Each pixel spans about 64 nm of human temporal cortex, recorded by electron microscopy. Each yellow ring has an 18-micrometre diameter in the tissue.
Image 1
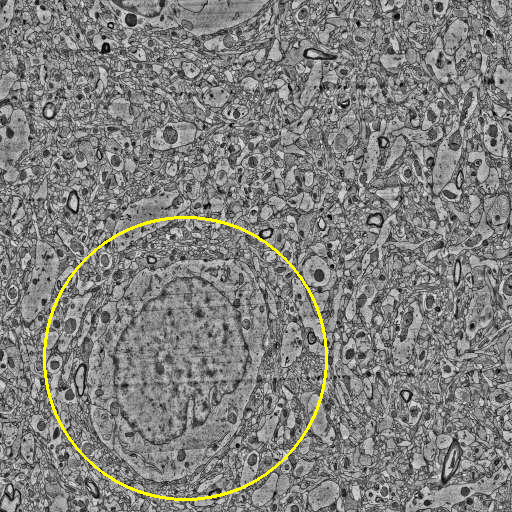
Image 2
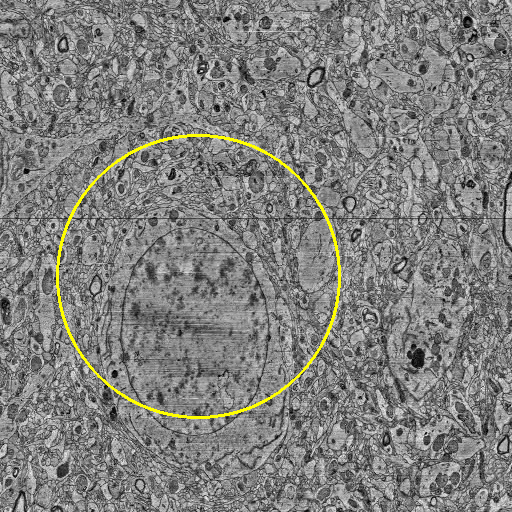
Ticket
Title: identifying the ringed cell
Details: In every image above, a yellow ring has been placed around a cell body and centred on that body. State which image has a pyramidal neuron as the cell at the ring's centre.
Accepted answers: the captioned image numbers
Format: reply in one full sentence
The ring in image 2 is centred on the cell in question.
